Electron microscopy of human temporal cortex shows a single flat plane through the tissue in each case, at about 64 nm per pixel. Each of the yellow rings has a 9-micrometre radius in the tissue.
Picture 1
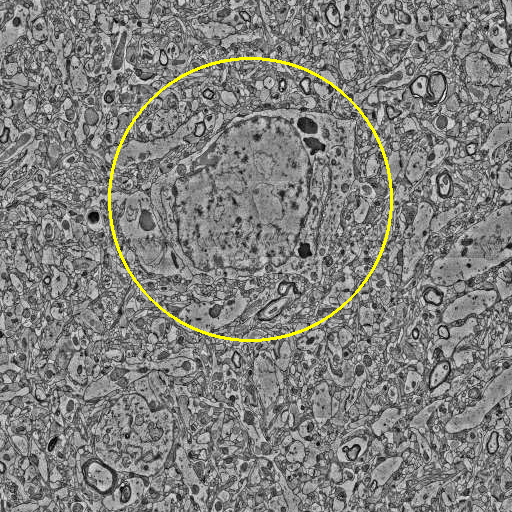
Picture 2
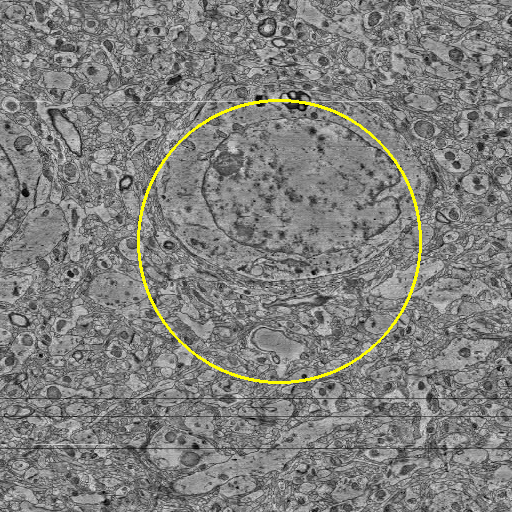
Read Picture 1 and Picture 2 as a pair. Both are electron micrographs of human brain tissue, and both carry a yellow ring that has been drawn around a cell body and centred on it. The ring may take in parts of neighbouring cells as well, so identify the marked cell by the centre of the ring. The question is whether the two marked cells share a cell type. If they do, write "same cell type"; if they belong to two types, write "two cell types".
two cell types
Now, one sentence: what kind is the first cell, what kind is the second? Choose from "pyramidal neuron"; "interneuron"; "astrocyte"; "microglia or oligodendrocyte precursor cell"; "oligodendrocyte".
The first picture has an interneuron at its ring centre, and the second has a pyramidal neuron.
